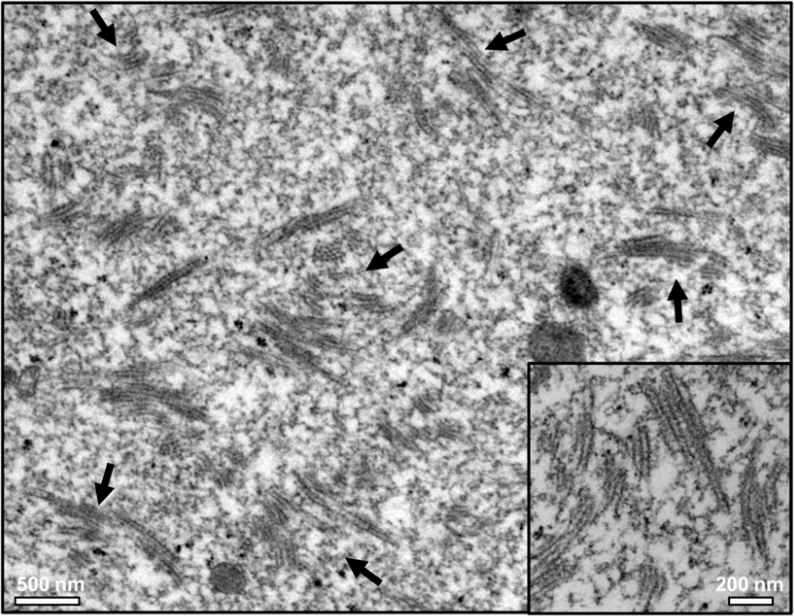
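This electron micrograph shows the cytoplasm of an oocyte filled with numerous lattice structures. These appear as bundles of parallel, closely spaced dark fibrils, several hundred nanometres long, lying in many different orientations. Some bundles are cut across and appear as small ordered arrays of dots. Between the bundles the cytoplasm is finely granular, with scattered small dark particles and a few small round dense bodies. The inset shows the fibrils at higher magnification as parallel striated strands.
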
